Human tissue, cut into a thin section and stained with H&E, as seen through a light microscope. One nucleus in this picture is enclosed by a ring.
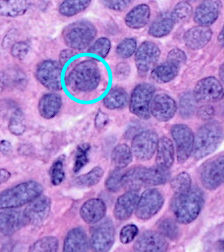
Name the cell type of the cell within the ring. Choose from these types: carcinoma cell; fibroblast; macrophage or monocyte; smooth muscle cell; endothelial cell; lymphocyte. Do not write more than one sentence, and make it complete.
The expected answer is simply that the cell within the ring is a carcinoma cell.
